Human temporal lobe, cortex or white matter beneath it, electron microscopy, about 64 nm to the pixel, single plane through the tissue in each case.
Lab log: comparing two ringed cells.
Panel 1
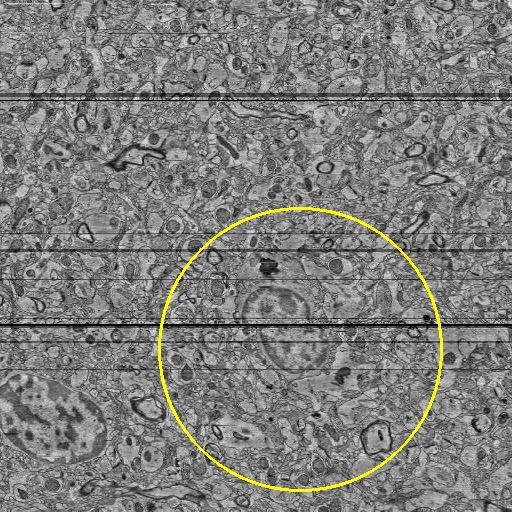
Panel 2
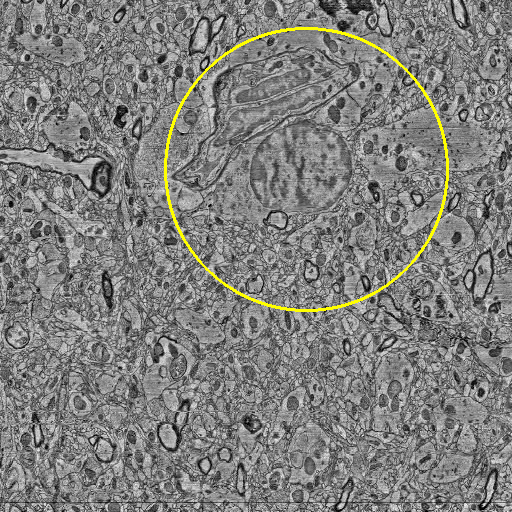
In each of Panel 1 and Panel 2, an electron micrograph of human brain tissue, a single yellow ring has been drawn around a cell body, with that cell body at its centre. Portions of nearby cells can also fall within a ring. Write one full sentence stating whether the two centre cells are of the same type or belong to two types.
The cells at the ring centres in Panel 1 and Panel 2 are of the same type.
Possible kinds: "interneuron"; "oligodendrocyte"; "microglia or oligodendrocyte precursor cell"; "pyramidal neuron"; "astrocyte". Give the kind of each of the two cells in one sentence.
Each of the ringed cells, first and second, is an oligodendrocyte.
